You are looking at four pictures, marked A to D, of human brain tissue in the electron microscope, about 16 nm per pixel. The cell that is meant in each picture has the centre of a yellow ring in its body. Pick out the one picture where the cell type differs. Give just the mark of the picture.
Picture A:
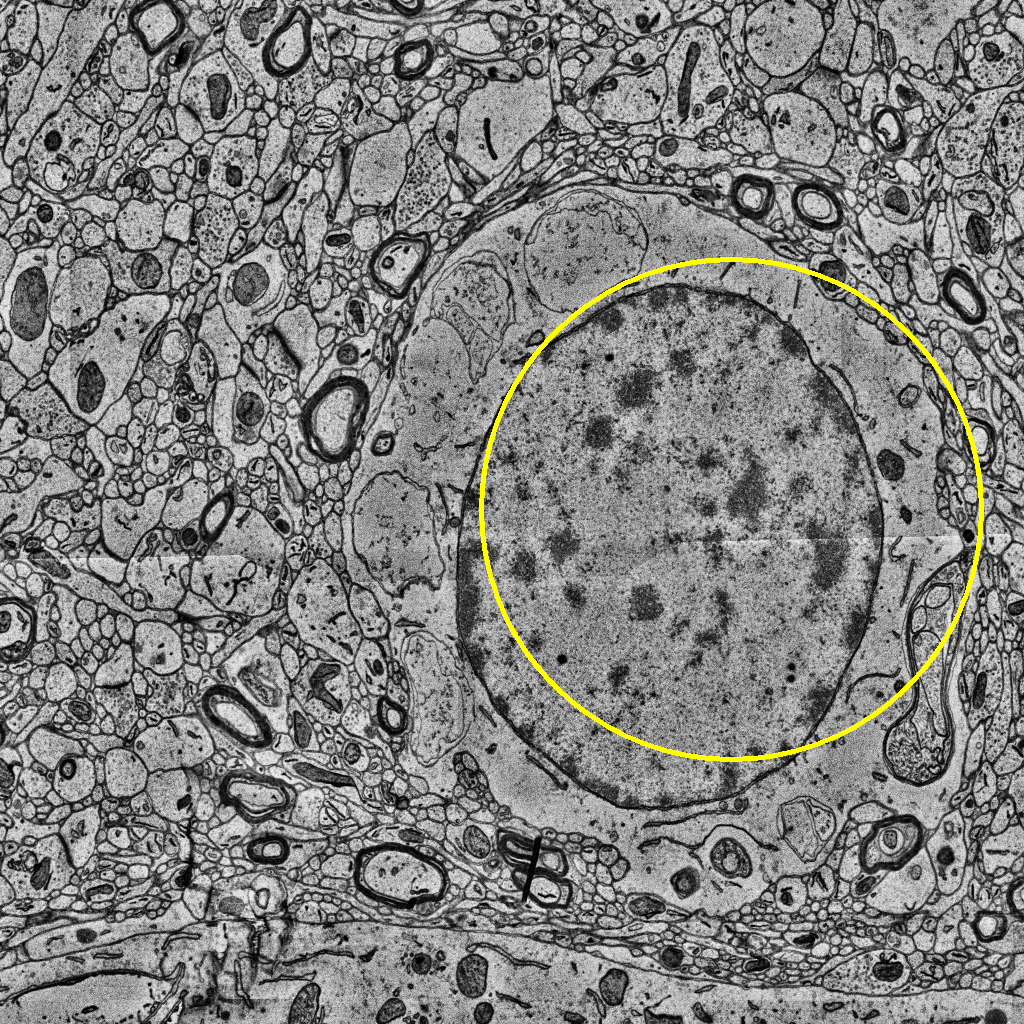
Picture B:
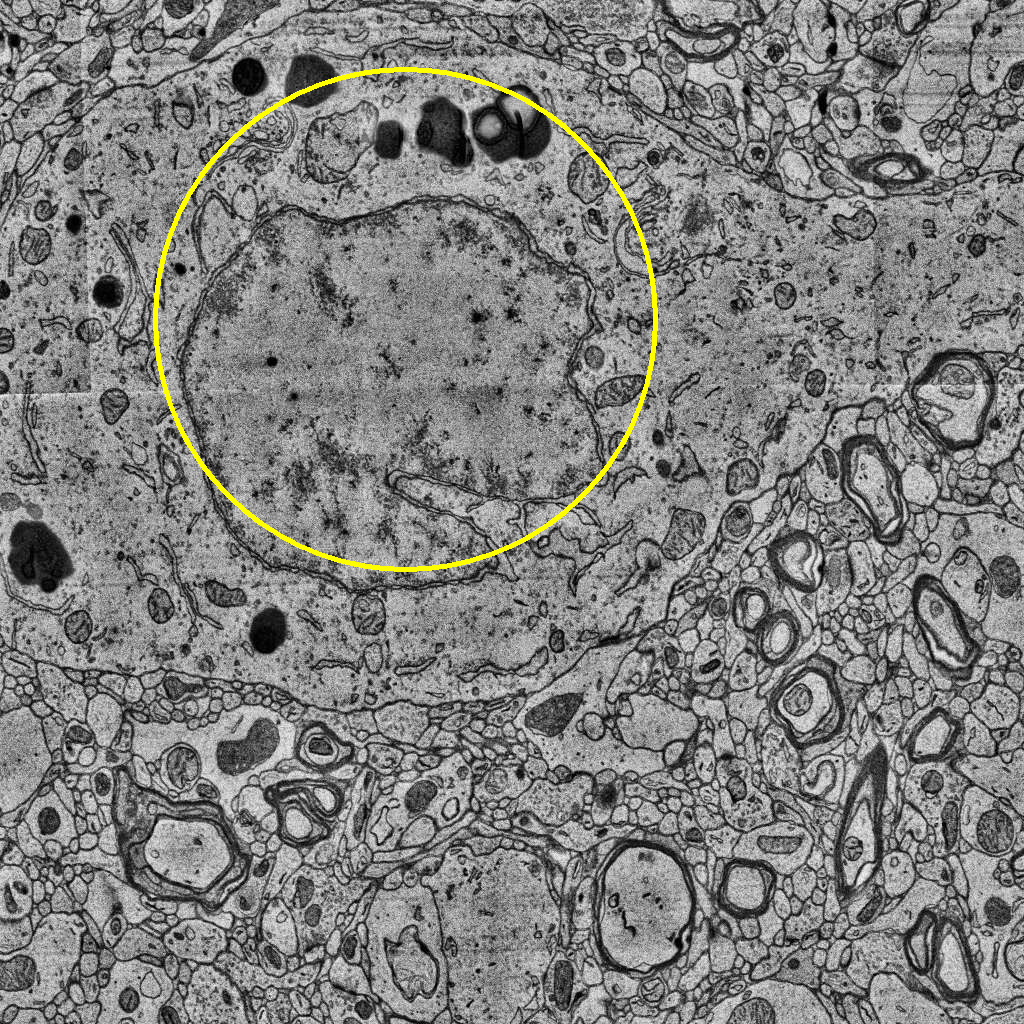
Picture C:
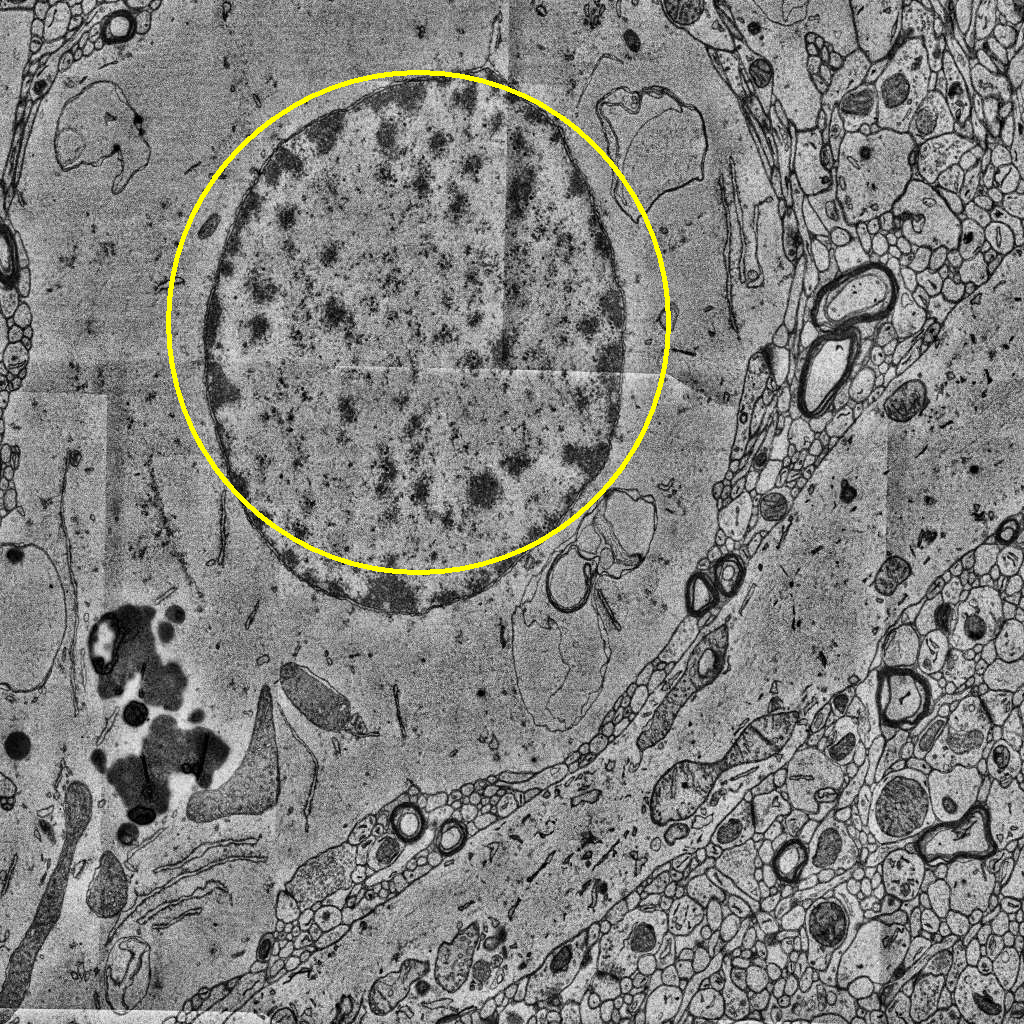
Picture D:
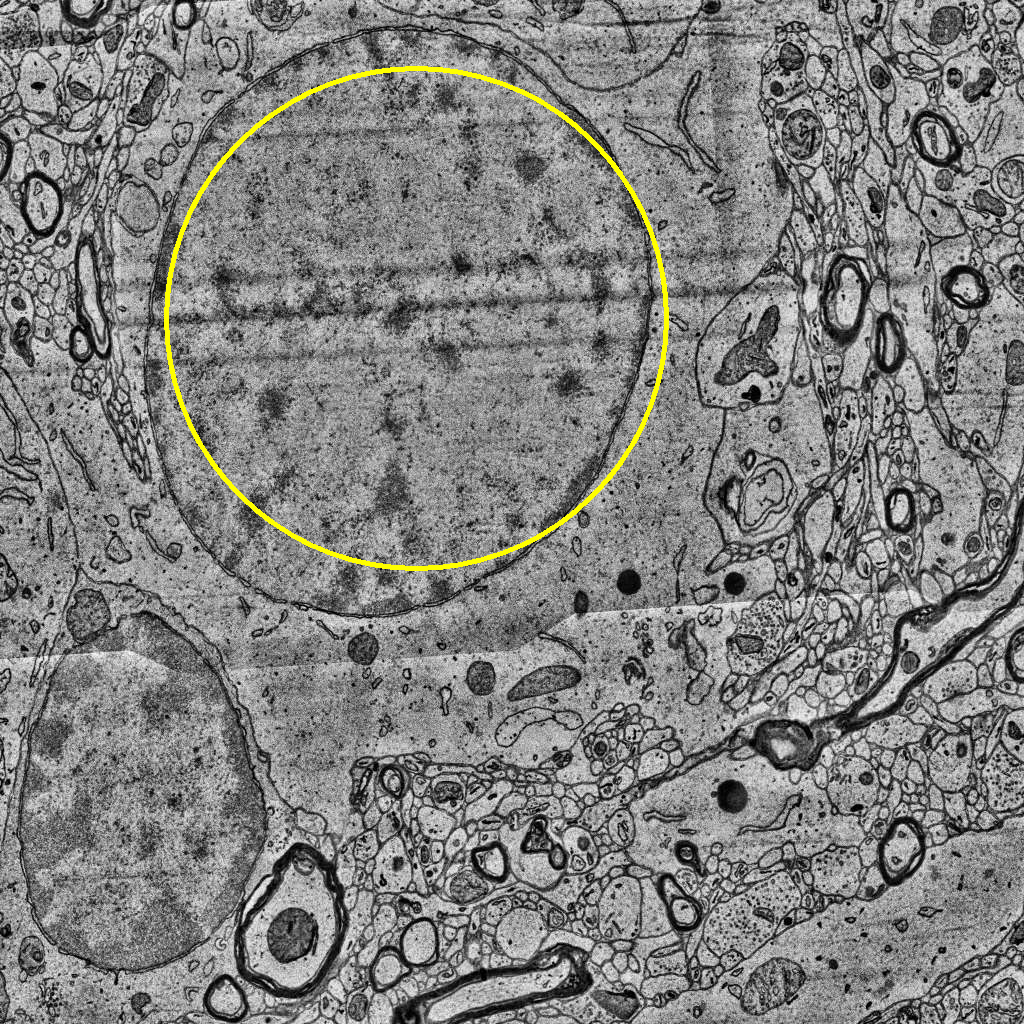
B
